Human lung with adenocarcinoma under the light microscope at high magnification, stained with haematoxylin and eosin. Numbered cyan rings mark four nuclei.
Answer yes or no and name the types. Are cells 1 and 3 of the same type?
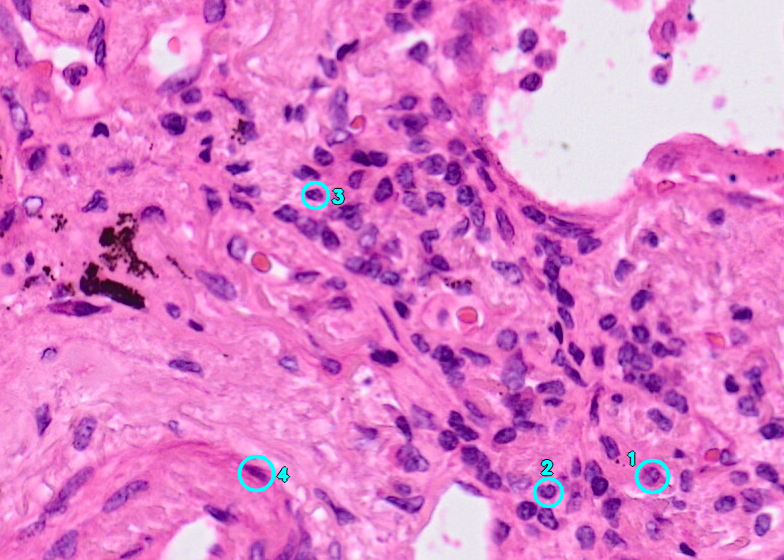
No, cell 1 is a mast cell, and as for cell 3, it is a lymphocyte.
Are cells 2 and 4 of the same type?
No, the cell bearing number 2 is a lymphocyte, while the one bearing number 4 is a smooth muscle cell or pericyte.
